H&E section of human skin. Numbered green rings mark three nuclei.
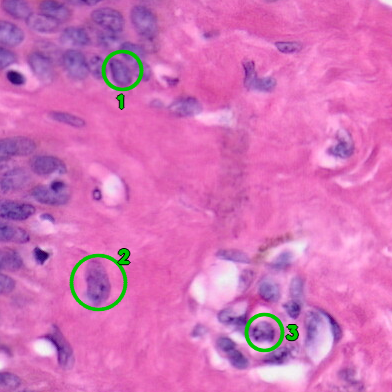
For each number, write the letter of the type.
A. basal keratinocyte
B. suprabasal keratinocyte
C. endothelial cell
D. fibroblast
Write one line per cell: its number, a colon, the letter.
1: A
2: D
3: C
